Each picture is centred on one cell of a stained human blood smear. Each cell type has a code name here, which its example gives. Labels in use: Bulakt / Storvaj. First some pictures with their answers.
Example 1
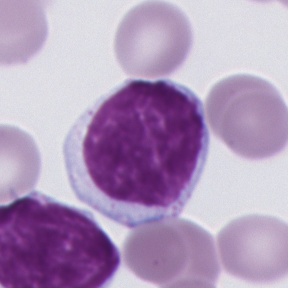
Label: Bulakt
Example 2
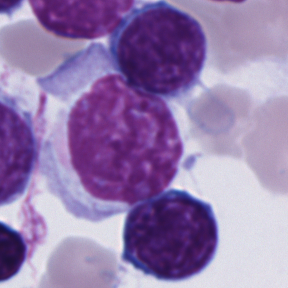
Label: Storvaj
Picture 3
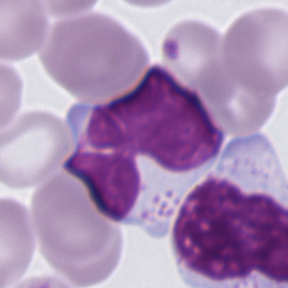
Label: Bulakt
